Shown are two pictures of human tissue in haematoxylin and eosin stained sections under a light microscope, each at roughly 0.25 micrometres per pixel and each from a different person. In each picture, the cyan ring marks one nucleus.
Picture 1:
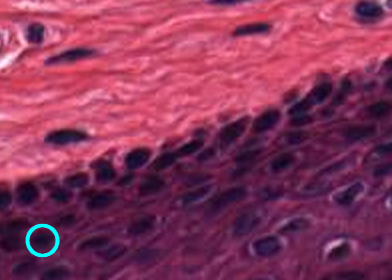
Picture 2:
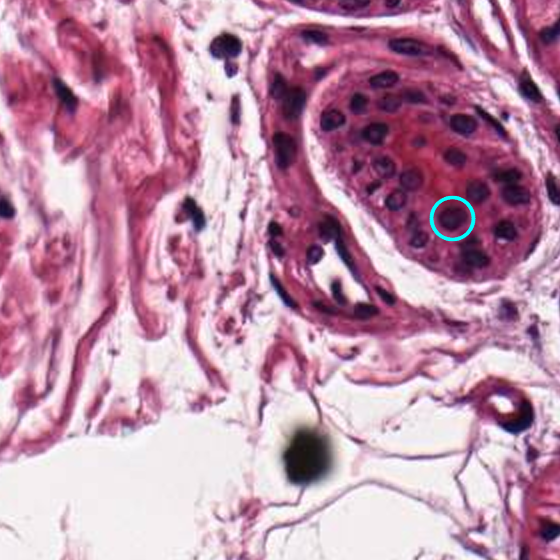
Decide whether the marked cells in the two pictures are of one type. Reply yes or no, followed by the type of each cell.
No, the first is a keratinocyte and the second a sweat gland cell.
